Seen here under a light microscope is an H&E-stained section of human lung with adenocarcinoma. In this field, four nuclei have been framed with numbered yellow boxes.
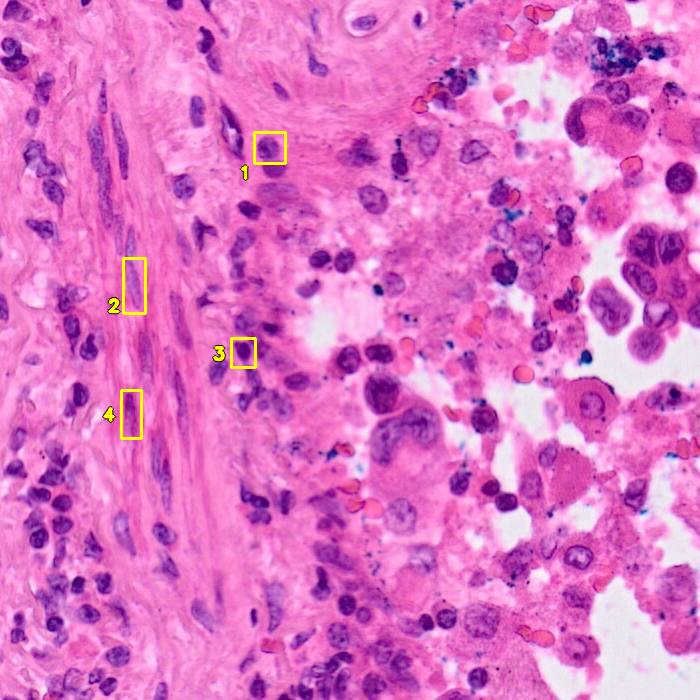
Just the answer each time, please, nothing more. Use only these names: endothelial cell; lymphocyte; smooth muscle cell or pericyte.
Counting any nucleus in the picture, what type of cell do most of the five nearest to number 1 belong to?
endothelial cell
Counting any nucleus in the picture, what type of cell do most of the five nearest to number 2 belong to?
smooth muscle cell or pericyte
